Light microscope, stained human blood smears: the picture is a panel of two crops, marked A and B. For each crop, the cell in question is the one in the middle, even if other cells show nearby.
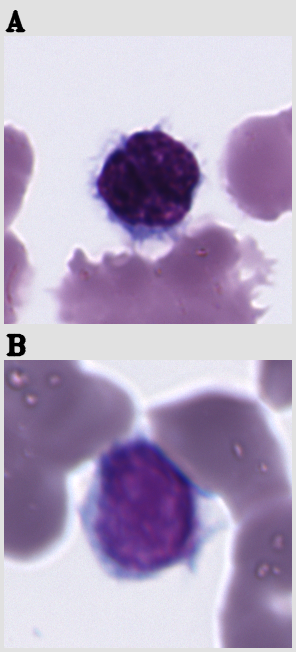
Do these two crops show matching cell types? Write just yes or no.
yes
